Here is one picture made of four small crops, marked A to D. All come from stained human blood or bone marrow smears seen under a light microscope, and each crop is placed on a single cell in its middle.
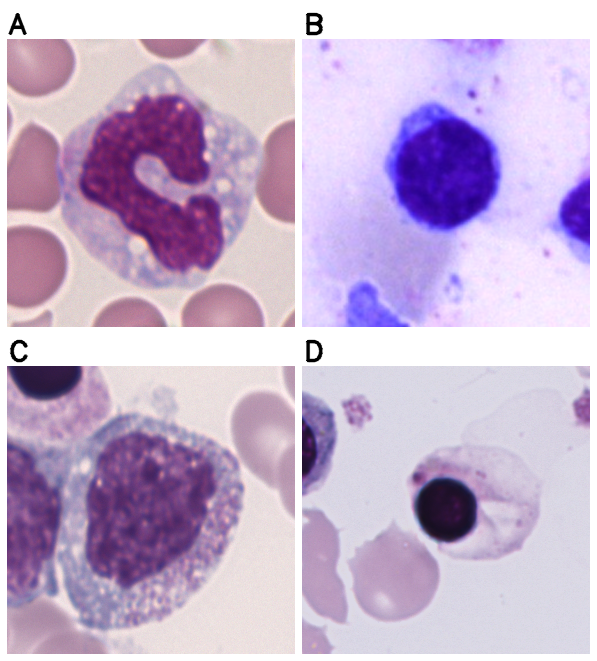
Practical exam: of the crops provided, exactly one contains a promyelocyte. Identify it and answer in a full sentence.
In the set of crops, crop C is the one that contains a promyelocyte.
